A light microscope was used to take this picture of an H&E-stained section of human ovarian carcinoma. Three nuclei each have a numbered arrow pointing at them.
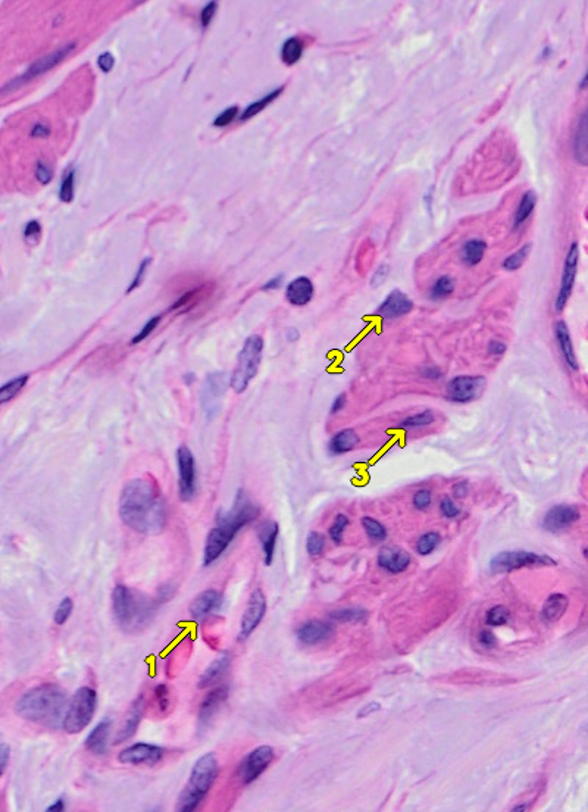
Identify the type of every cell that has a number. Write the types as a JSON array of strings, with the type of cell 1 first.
["endothelial cell", "smooth muscle cell", "smooth muscle cell"]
